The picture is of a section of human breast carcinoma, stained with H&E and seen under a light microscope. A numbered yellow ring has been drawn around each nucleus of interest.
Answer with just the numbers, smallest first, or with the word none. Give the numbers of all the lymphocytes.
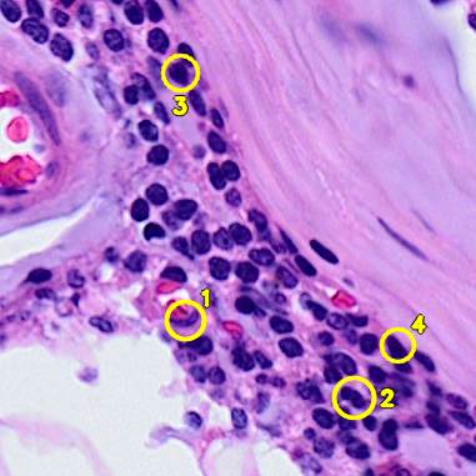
2, 3, 4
